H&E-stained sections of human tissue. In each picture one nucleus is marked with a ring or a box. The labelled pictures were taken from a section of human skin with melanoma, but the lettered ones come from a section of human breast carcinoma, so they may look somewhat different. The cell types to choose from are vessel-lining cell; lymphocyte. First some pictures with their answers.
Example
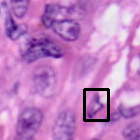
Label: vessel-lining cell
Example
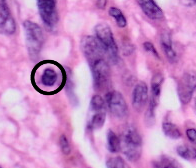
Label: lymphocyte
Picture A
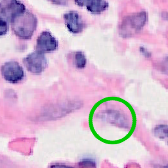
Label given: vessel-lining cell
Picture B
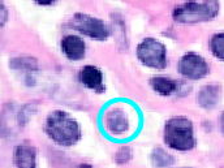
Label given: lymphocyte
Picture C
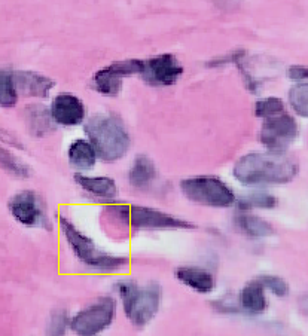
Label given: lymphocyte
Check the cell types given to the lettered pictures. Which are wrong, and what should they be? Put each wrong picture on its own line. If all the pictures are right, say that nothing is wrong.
C: not lymphocyte but vessel-lining cell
